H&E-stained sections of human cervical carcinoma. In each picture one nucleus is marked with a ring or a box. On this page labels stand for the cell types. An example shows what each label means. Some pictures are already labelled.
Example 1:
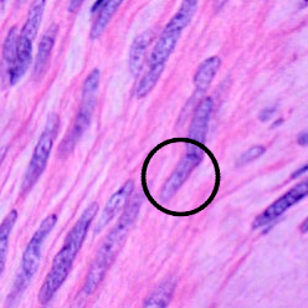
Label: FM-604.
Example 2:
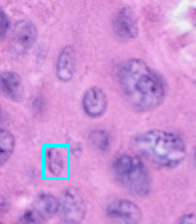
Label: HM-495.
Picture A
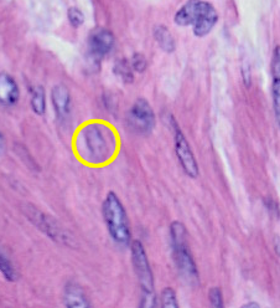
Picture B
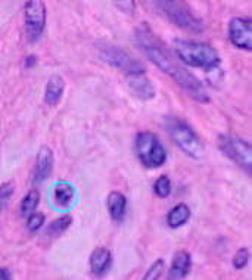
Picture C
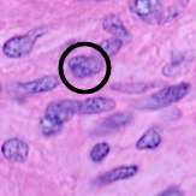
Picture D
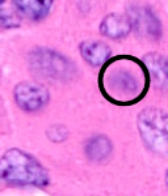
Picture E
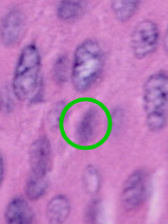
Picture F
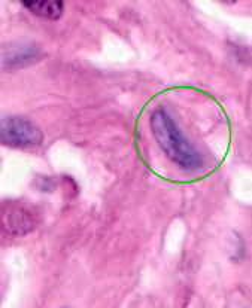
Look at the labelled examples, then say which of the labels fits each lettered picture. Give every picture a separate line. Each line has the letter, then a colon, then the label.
A: FM-604.
B: FM-604.
C: FM-604.
D: HM-495.
E: HM-495.
F: HM-495.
